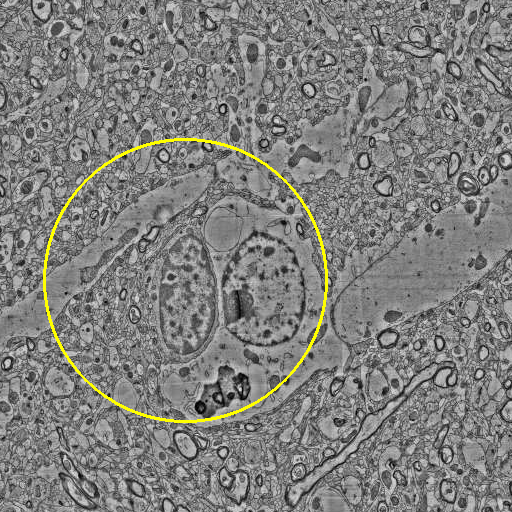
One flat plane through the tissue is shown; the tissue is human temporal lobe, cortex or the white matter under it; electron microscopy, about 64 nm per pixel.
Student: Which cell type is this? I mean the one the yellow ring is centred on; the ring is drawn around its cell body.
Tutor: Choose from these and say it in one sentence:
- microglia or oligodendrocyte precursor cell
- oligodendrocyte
The cell the ring is centred on is an oligodendrocyte.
